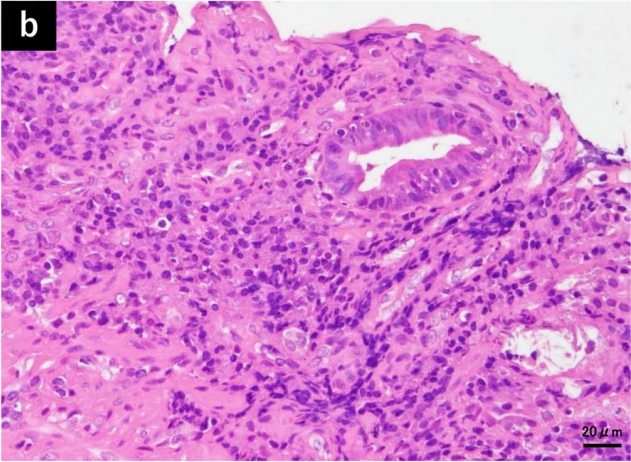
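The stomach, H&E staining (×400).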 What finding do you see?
Inflammatory cell infiltrations.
